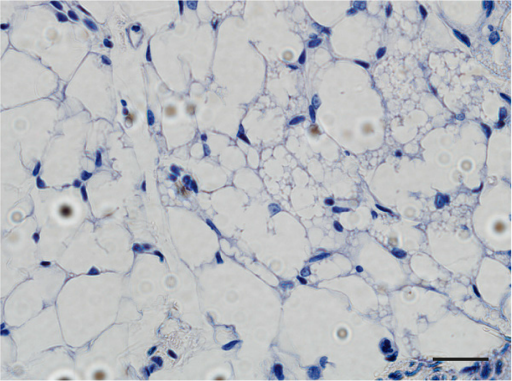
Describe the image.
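This is white fat in which most cells are large white adipocytes, each appearing as a single clear, empty-looking space outlined by a thin pale blue rim. Their nuclei are small, dark blue and flattened, squeezed against the edge of the cell. In the middle of the field lies a patch of much smaller cells whose cytoplasm is crowded with many tiny round droplets, giving a foamy, bubbly look. These multilocular cells, which resemble brown fat cells, lie scattered among the large single-droplet cells.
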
